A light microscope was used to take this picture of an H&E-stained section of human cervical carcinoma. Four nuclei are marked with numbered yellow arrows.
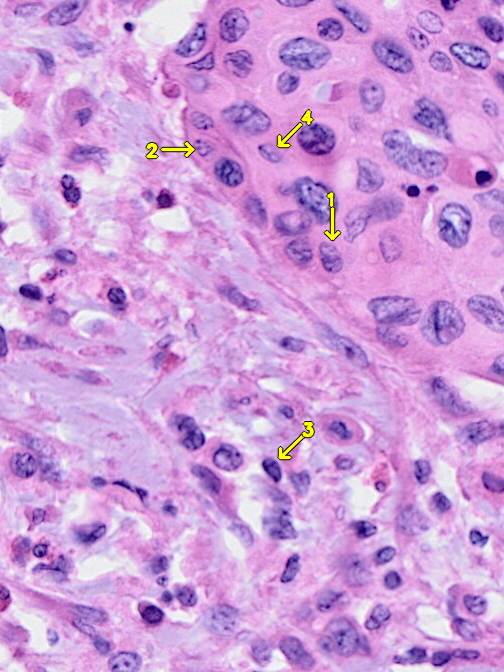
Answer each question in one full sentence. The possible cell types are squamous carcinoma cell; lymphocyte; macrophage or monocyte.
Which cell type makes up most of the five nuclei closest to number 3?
Most of the five nuclei nearest to number 3 are those of macrophages or monocytes.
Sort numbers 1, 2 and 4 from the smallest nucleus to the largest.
The order from the smallest nucleus to the largest is 2, 4, 1.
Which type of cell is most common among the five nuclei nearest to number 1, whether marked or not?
Of the five nuclei nearest to number 1, most belong to squamous carcinoma cells.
